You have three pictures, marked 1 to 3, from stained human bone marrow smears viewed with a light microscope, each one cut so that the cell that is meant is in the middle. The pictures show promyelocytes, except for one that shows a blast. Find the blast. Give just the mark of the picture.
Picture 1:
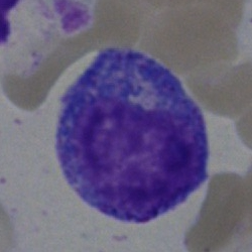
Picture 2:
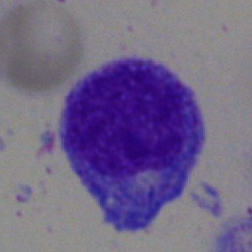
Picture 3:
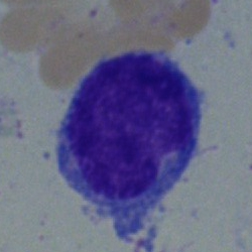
3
